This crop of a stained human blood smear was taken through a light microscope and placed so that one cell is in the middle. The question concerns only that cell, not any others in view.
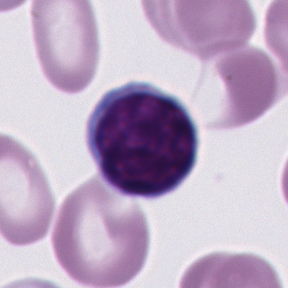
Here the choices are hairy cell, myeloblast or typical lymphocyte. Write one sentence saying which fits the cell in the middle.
In this crop, the cell at the very middle is a typical lymphocyte.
